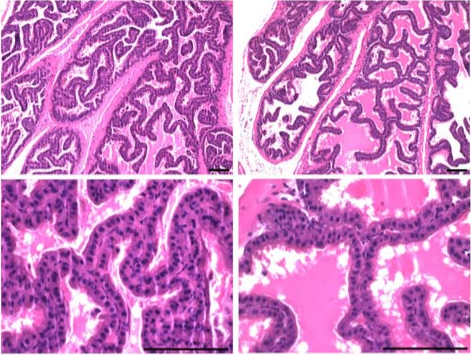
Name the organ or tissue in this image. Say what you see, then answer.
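Glands with a highly folded, branching epithelial lining projecting into the lumens. Lumens contain pale pink, homogeneous secretion. Thin strands of stroma separate the glands.
Hence: anterior prostate.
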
